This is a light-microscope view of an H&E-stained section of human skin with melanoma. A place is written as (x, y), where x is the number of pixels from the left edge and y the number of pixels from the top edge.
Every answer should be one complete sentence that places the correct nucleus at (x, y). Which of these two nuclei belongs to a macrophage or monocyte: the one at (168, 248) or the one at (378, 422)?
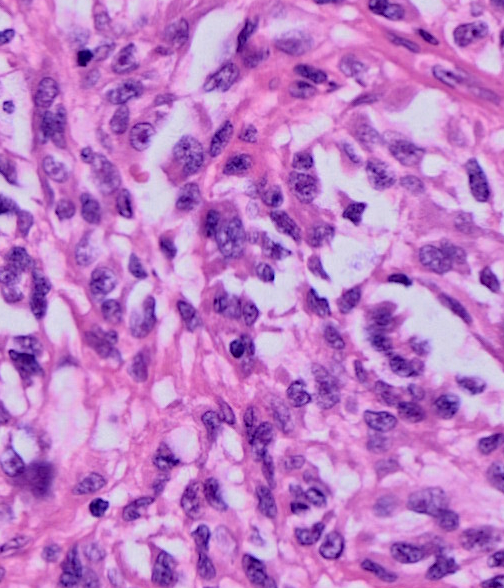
Rather than the other nucleus, the one at (168, 248) belongs to a macrophage or monocyte.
